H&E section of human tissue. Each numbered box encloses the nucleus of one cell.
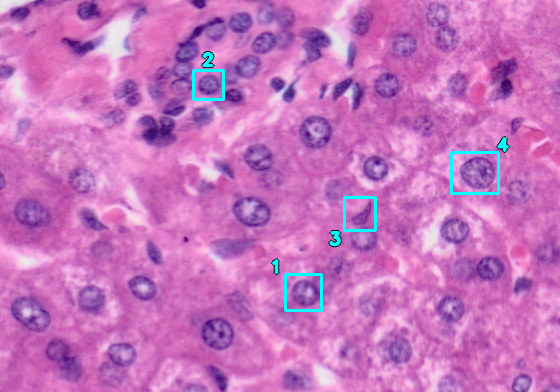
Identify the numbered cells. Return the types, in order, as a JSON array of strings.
["hepatocyte", "cholangiocyte", "fibroblast or stellate cell", "hepatocyte"]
